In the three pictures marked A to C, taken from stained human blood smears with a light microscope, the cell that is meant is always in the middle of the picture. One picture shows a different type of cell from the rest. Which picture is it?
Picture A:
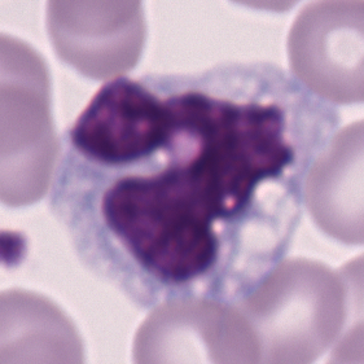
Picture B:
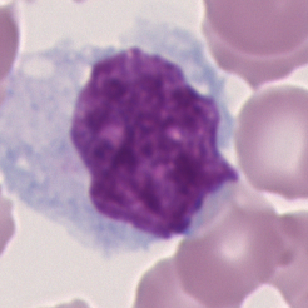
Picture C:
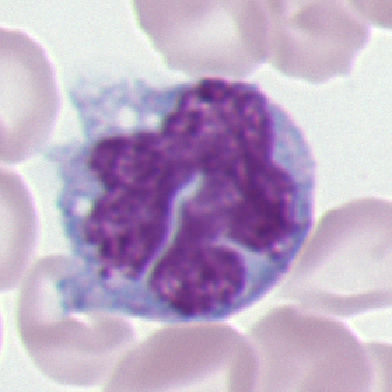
B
